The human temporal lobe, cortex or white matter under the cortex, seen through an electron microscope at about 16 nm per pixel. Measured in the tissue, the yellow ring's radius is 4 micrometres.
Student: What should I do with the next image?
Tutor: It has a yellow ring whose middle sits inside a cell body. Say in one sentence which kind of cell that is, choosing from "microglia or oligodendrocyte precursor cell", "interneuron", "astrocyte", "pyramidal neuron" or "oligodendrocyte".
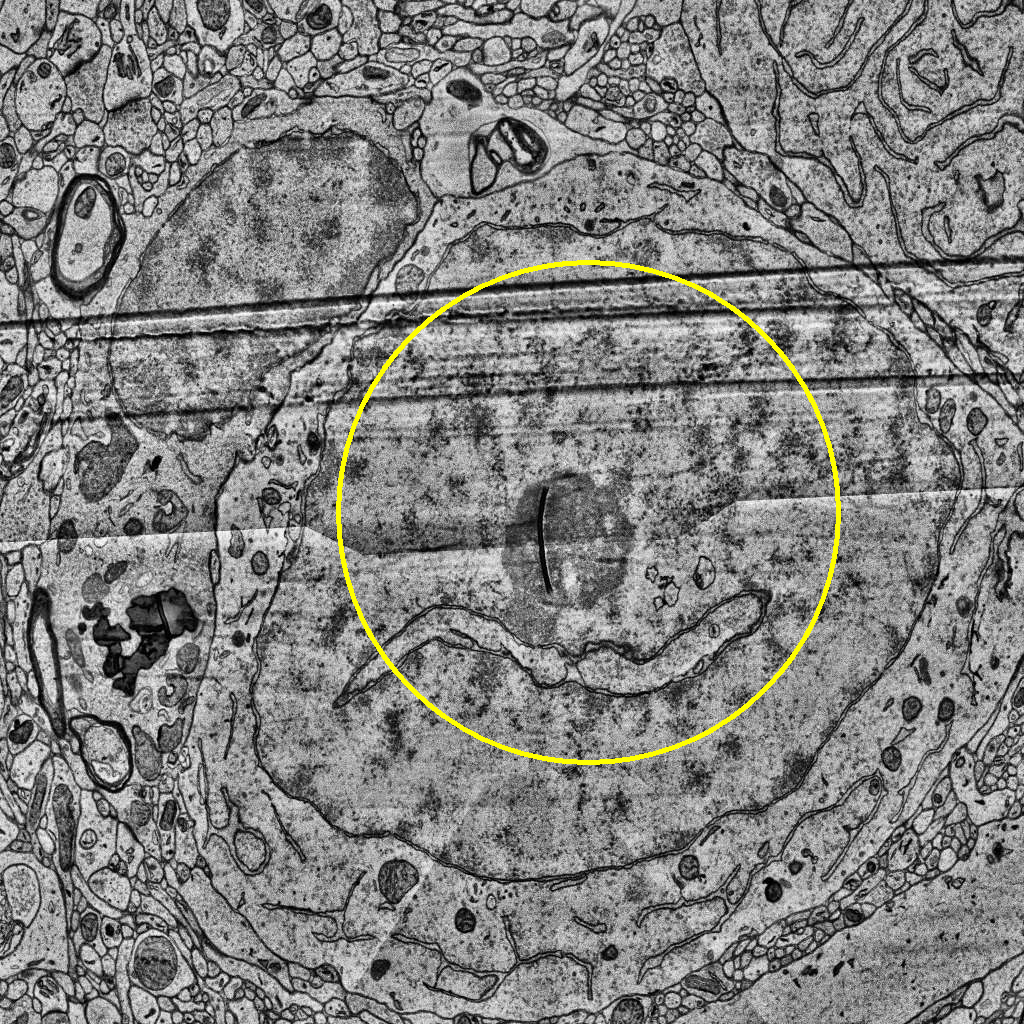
The ring's centre is occupied by an interneuron.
